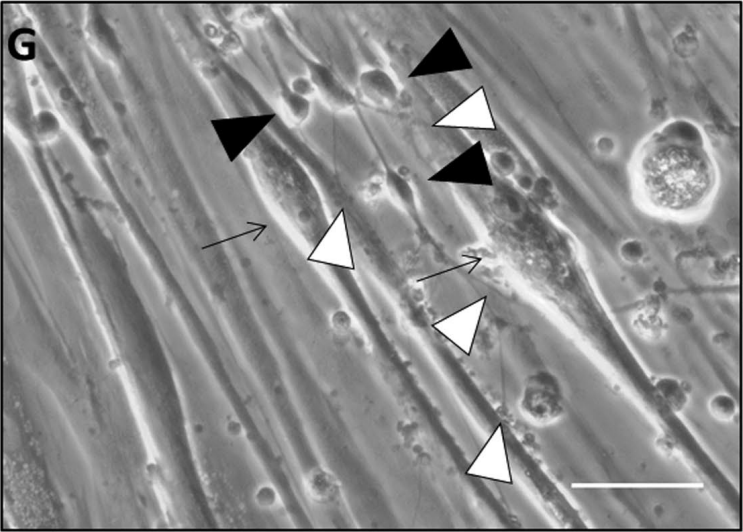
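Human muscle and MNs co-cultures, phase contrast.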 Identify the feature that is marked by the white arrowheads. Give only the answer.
Neuromuscular contacts.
